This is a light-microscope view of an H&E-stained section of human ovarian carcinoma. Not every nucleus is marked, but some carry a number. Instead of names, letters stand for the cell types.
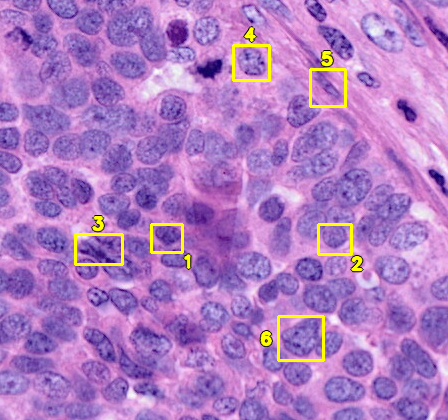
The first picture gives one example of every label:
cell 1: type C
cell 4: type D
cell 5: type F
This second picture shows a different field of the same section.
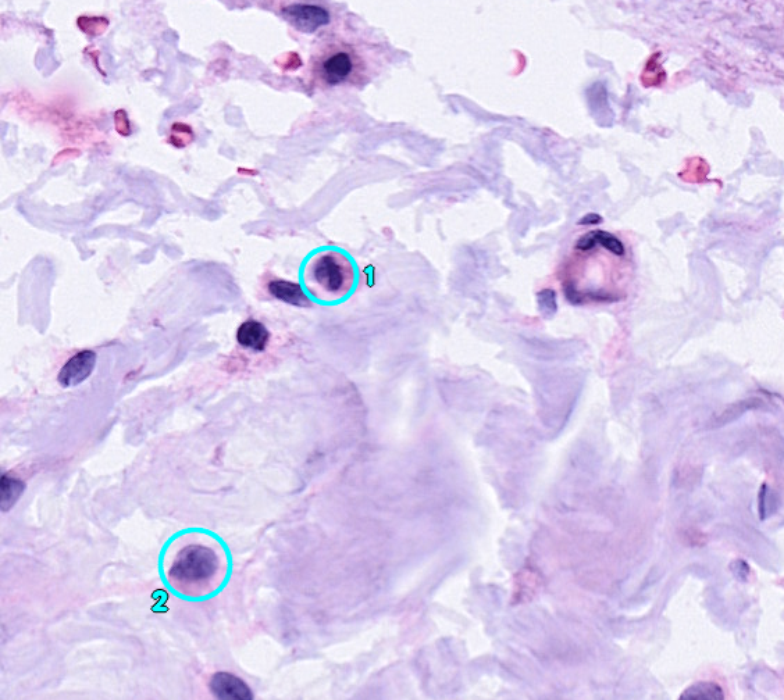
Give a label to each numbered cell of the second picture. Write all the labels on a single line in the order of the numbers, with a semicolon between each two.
type D; type F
